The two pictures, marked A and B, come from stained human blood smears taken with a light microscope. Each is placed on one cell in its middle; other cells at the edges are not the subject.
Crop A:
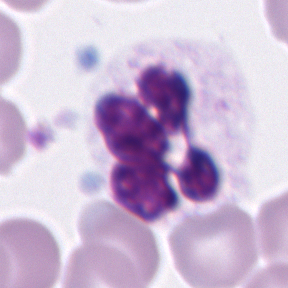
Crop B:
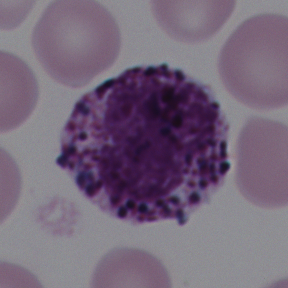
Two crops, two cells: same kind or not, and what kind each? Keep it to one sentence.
No: a neutrophil sits in crop A, and a basophil sits in crop B.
